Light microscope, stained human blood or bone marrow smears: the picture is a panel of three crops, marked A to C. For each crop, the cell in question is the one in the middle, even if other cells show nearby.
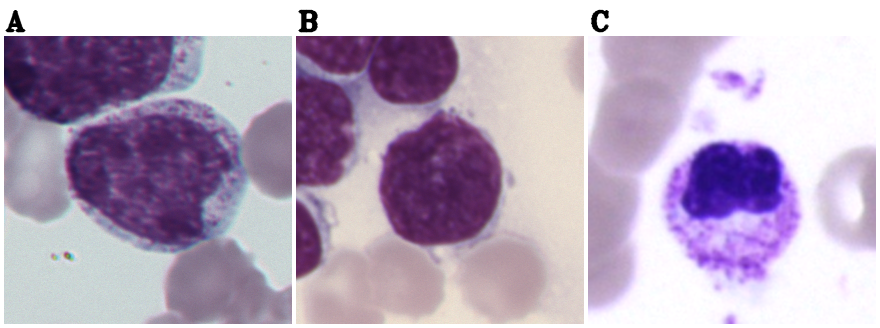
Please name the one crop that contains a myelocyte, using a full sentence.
Among all the crops given here, the one with a myelocyte is crop A.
